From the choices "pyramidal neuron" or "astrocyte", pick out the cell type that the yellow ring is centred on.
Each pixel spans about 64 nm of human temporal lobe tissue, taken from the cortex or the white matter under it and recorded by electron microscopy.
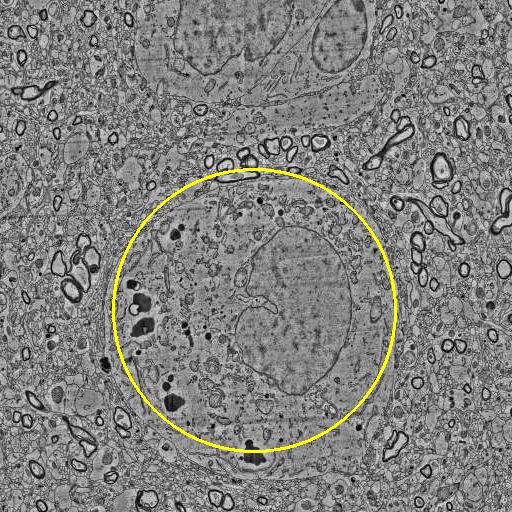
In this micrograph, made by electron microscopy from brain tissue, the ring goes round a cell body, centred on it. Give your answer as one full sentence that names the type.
The yellow ring is centred on a pyramidal neuron, whose cell body it encircles in the picture.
